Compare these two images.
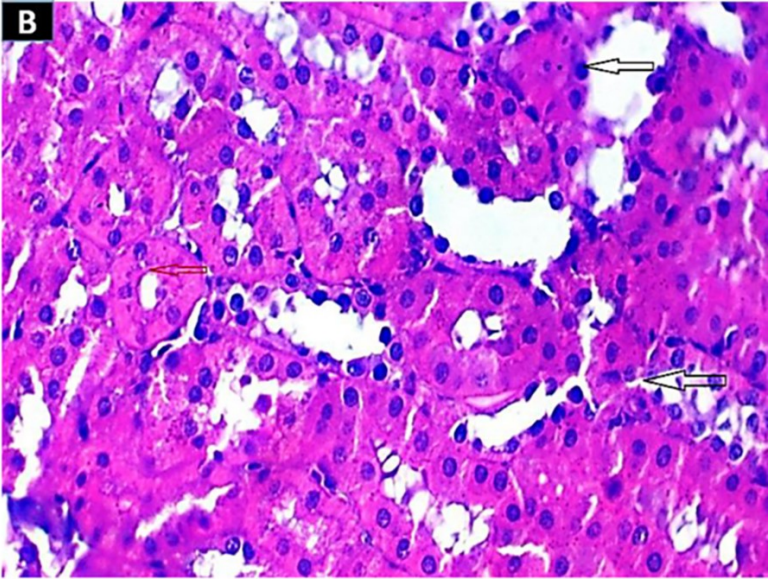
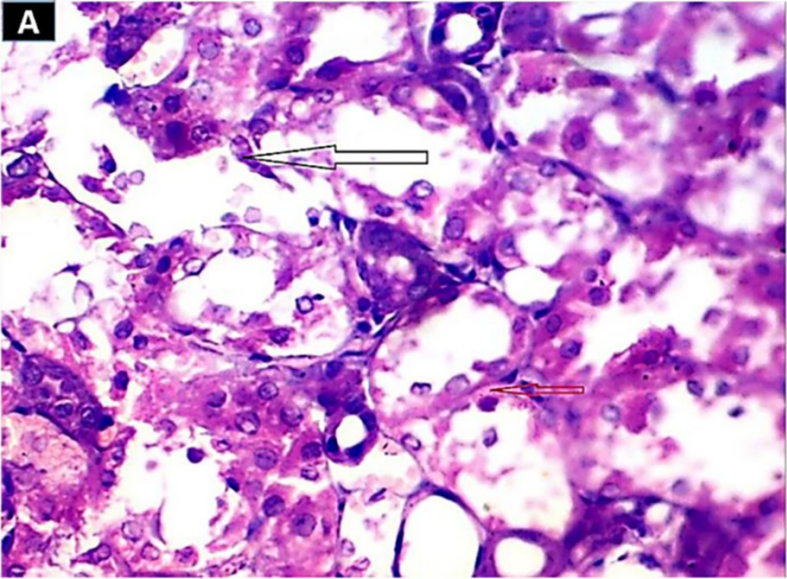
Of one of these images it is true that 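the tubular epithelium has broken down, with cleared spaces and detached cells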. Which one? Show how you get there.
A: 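First image: tubules are lined by continuous rows of intact cells with dense pink cytoplasm. Second image: many tubules show pale cleared areas, disrupted lining and loose rounded cells in the spaces.
Answer: the second image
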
